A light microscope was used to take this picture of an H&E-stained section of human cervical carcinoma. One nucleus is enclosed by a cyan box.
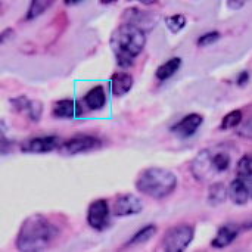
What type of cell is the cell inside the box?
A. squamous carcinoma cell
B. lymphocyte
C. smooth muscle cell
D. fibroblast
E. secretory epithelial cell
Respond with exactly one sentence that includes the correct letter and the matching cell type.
Option B names it right: the cell inside the box is a lymphocyte.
